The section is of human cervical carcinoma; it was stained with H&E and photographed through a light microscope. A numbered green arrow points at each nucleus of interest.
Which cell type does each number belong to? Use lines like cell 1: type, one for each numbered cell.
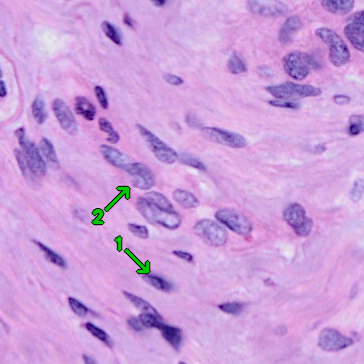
cell 1: fibroblast
cell 2: endothelial cell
